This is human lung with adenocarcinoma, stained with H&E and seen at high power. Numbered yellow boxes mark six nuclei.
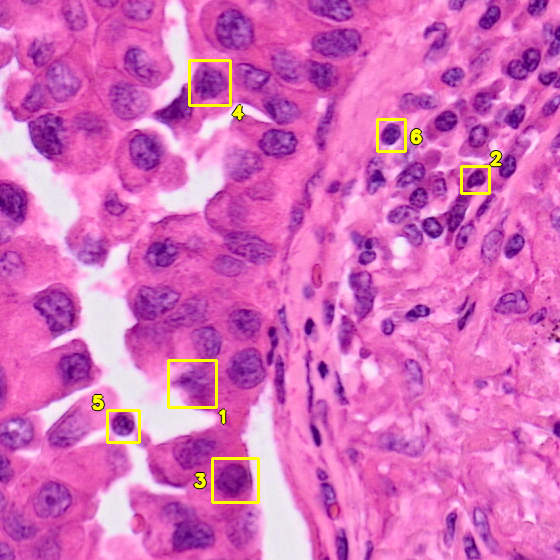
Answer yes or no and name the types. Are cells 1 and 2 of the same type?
No, cell 1 is a carcinoma cell and cell 2 is a plasma cell.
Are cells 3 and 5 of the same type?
No, cell 3 is a carcinoma cell and cell 5 is a lymphocyte.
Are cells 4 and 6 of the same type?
No, cell 4 is a carcinoma cell and cell 6 is a lymphocyte.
